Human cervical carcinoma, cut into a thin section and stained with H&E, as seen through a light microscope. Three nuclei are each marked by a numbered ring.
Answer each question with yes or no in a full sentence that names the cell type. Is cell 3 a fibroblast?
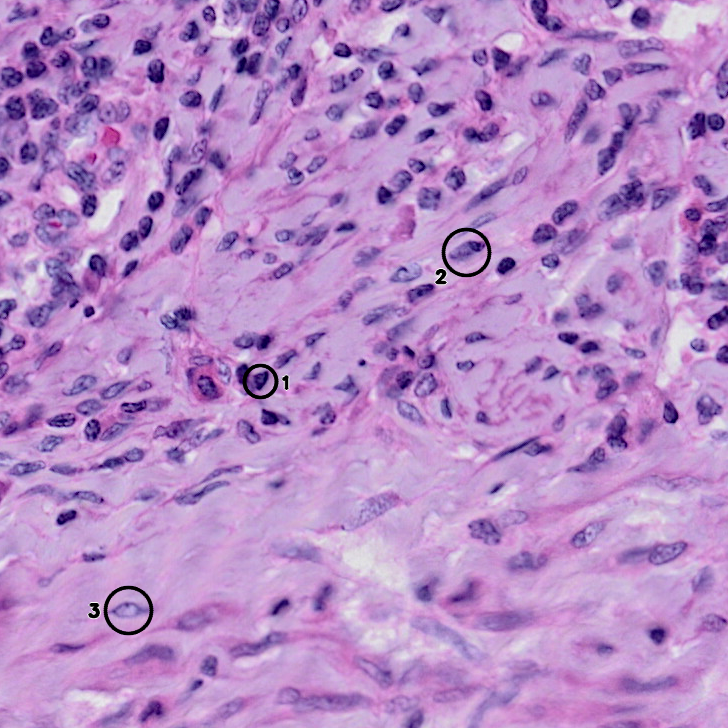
Yes, the cell identified by number 3 is a fibroblast.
